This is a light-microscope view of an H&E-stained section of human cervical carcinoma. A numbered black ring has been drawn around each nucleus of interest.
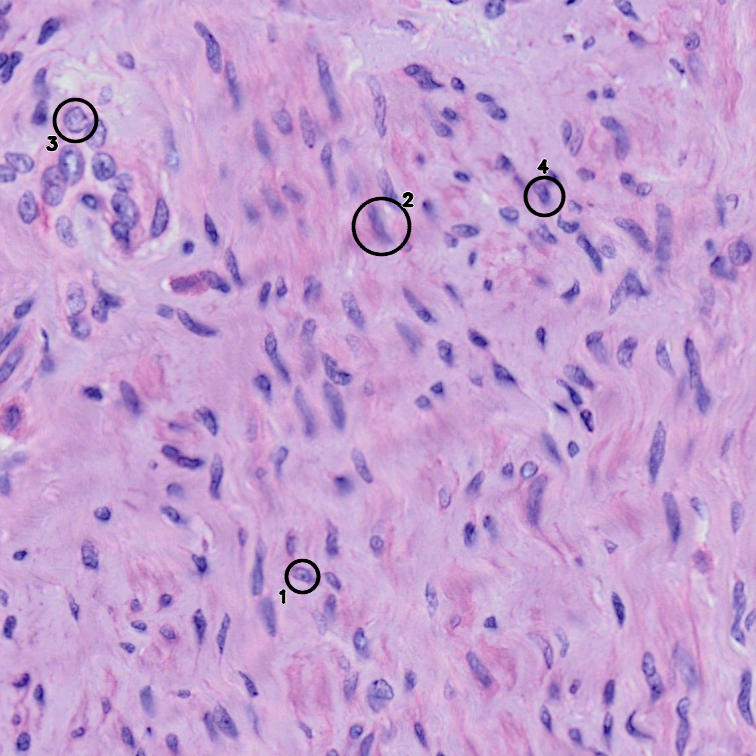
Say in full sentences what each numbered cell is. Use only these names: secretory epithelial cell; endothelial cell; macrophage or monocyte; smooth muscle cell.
Cells 1, 2 and 4 are smooth muscle cells. Cell 3 is an endothelial cell.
